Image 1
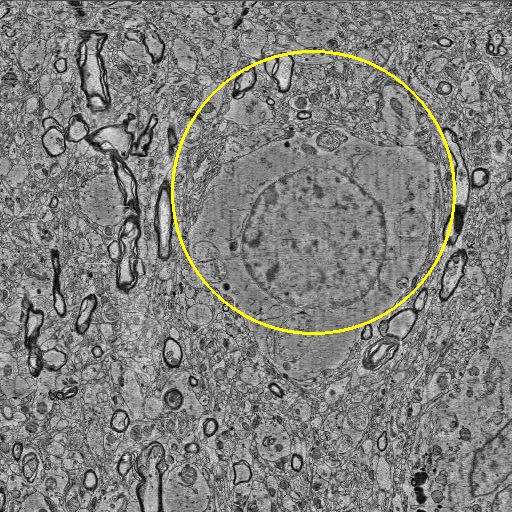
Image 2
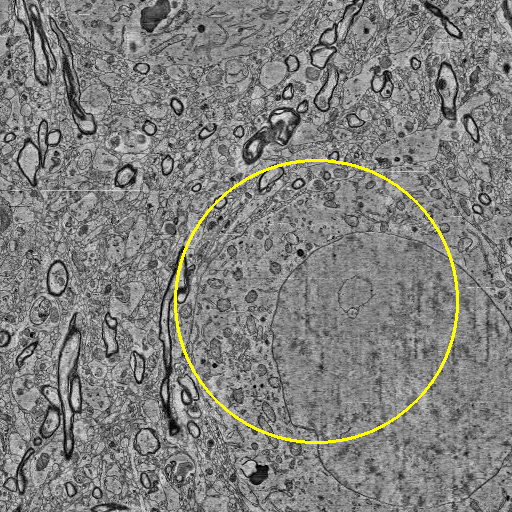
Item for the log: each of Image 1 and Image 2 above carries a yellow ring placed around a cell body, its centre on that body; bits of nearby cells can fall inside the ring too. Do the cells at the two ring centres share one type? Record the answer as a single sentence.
No, the two cells at the ring centres in Image 1 and Image 2 are of two types.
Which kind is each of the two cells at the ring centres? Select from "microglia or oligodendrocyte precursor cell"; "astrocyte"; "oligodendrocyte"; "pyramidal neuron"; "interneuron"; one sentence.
The cell at the centre of the ring is an astrocyte in the first picture and a pyramidal neuron in the second.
